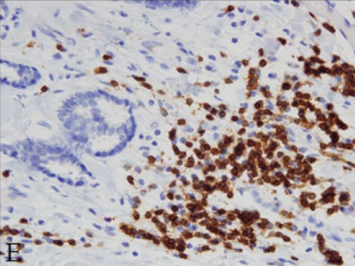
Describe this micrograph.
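The stained cells are small and round with a thin rim of cytoplasm and are packed in sheets and clusters, with scattered single cells further out. The glands are lined by epithelial cells with blue nuclei that carry no brown stain, and the surrounding stroma is pale.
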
